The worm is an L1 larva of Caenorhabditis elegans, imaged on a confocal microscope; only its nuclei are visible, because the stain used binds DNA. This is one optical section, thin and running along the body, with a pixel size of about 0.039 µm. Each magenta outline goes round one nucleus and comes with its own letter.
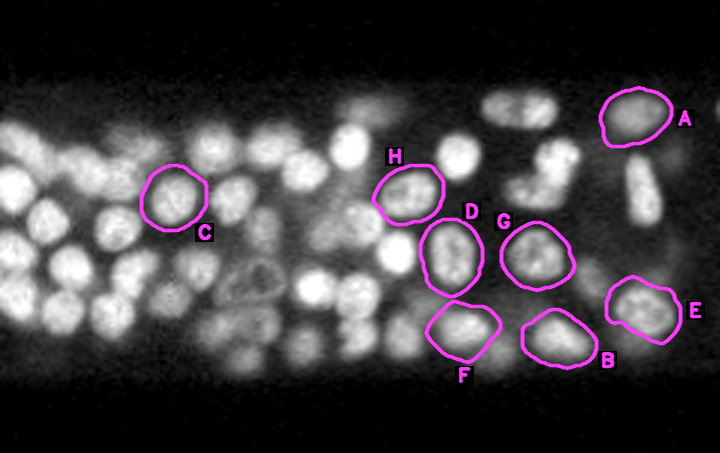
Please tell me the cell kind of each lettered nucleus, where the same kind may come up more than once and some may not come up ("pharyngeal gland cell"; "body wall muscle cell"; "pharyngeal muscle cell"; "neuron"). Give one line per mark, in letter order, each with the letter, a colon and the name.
A: body wall muscle cell
B: neuron
C: neuron
D: pharyngeal muscle cell
E: body wall muscle cell
F: neuron
G: pharyngeal muscle cell
H: pharyngeal gland cell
